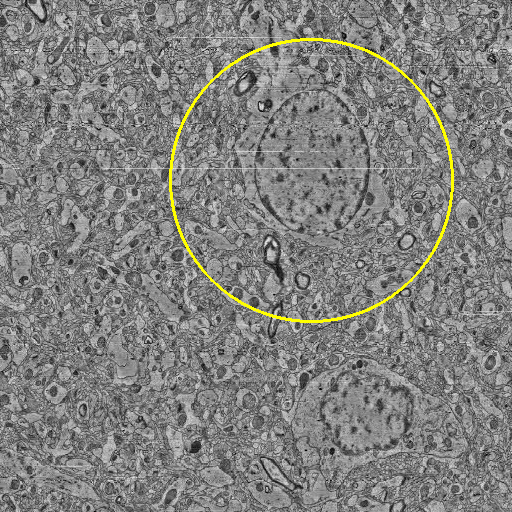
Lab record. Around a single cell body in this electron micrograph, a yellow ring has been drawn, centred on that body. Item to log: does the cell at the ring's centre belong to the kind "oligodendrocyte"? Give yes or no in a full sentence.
No, in the micrograph, the ringed cell at the centre belongs to a different kind.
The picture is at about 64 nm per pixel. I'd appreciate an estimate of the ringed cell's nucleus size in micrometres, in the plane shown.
In this plane the nucleus spans approximately 10 by 7 micrometers.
